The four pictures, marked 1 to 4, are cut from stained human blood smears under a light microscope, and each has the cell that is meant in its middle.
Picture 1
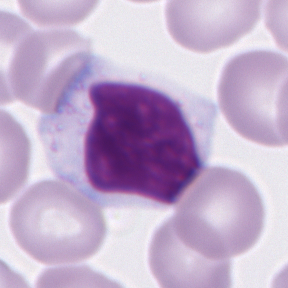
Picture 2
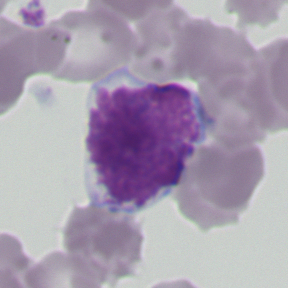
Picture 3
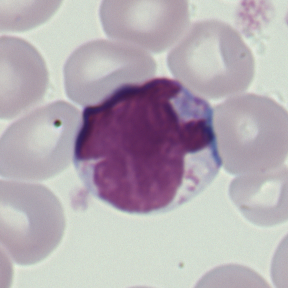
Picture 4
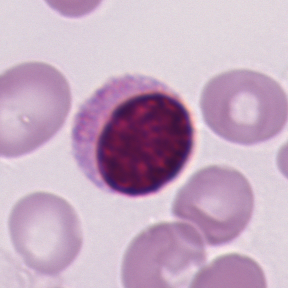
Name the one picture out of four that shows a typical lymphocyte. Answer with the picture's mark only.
2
